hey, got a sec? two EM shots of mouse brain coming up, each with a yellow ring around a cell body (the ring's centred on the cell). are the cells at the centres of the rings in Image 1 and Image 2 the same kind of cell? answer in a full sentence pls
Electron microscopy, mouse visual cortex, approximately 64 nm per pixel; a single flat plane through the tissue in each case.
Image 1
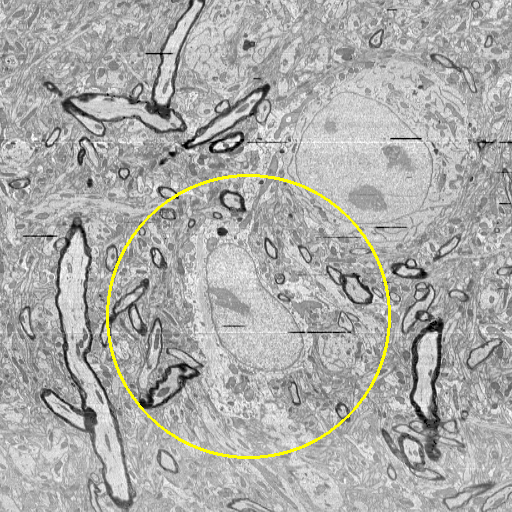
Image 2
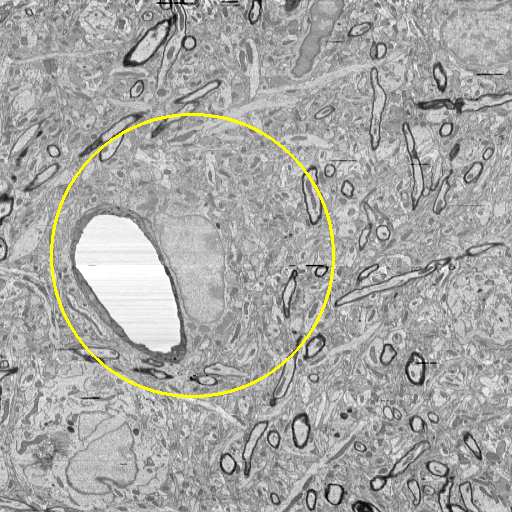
Yes, both are the same kind of cell.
